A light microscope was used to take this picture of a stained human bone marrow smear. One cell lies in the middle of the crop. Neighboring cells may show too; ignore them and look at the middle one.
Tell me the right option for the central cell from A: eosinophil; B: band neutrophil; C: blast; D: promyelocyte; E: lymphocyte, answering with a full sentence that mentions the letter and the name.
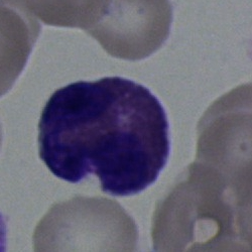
Option A is the right one, for the cell in the middle is an eosinophil.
